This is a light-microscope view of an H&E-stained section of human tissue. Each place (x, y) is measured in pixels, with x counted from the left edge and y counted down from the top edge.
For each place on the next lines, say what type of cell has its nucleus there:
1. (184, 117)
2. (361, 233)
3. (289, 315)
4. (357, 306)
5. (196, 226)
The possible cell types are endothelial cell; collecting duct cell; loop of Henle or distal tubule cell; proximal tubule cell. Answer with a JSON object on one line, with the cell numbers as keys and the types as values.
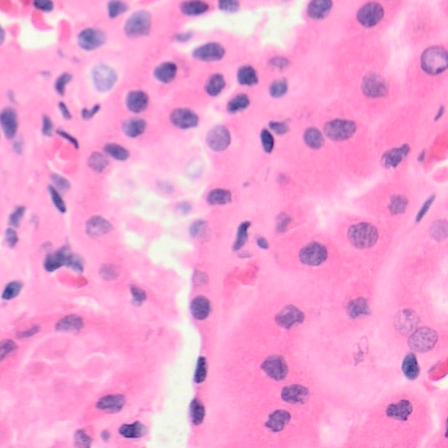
{"1": "loop of Henle or distal tubule cell", "2": "proximal tubule cell", "3": "proximal tubule cell", "4": "proximal tubule cell", "5": "loop of Henle or distal tubule cell"}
